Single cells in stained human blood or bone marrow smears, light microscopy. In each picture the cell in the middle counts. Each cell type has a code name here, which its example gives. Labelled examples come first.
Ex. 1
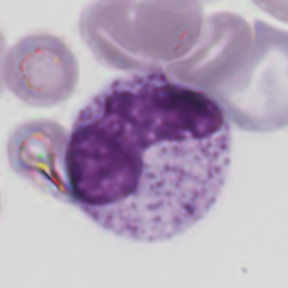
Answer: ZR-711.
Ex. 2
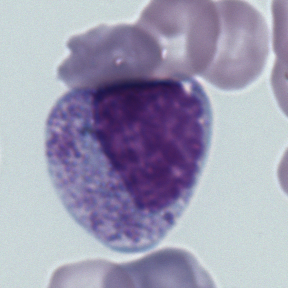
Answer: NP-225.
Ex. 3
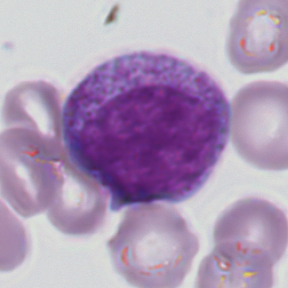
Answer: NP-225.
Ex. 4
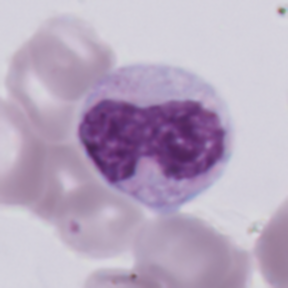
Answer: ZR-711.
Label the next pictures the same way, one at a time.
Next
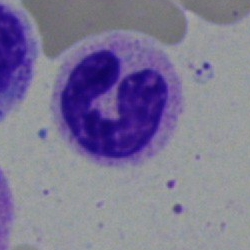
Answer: ZR-711.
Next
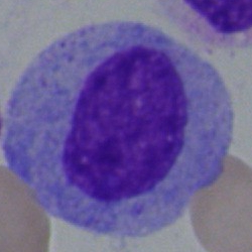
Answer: NP-225.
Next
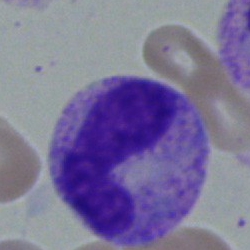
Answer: ZR-711.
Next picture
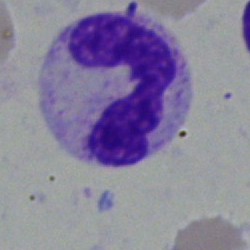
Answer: ZR-711.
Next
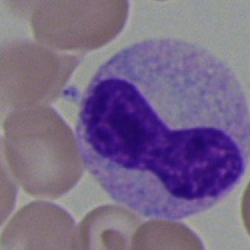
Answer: ZR-711.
